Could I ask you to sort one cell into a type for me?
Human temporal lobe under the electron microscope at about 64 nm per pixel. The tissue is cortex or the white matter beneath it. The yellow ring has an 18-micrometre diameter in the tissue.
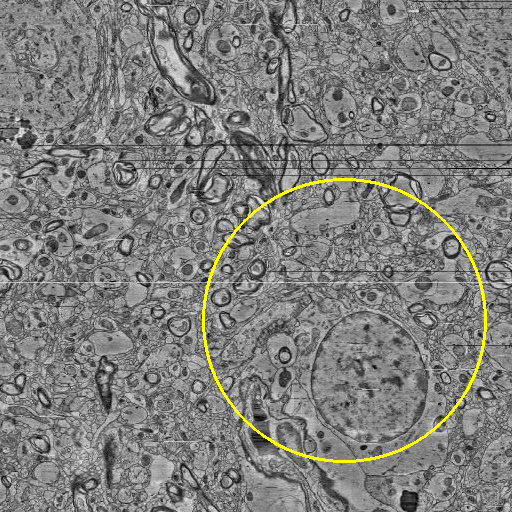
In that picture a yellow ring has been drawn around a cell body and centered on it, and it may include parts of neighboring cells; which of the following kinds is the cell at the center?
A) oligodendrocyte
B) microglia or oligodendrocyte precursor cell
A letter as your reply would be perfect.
B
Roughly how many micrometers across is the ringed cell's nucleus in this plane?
Roughly 9 micrometres by 7 micrometres, in this plane.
